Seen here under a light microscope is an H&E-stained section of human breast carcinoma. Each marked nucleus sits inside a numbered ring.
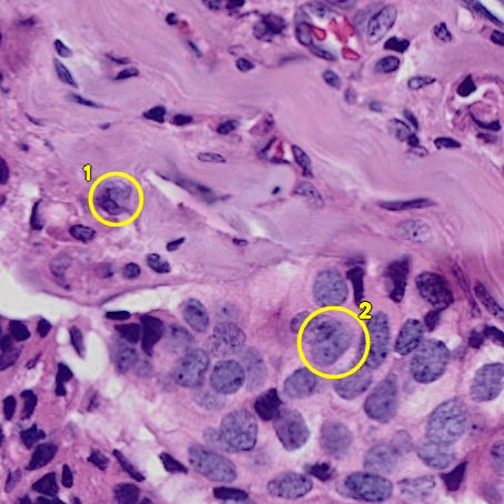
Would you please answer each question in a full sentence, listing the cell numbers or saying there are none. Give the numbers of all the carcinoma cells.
Cell 2 is a carcinoma cell and is the only numbered cell of that kind.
